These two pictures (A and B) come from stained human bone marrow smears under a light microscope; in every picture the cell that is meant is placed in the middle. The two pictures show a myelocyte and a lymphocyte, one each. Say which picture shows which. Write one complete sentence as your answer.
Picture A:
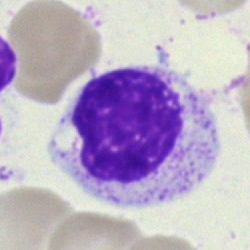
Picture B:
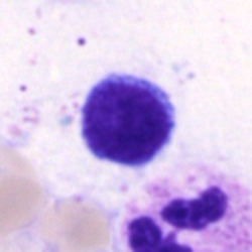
The cell in picture A is a myelocyte, and the one in picture B is a lymphocyte.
